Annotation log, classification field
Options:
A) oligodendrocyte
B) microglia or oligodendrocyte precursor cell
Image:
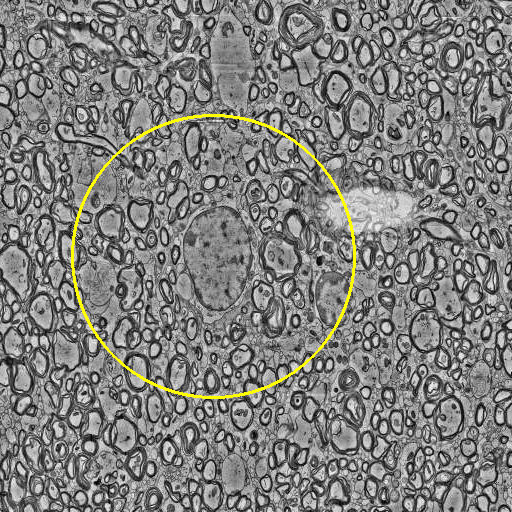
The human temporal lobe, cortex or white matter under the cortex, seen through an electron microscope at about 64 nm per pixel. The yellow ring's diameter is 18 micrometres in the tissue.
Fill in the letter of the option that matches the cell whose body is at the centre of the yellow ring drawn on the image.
B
